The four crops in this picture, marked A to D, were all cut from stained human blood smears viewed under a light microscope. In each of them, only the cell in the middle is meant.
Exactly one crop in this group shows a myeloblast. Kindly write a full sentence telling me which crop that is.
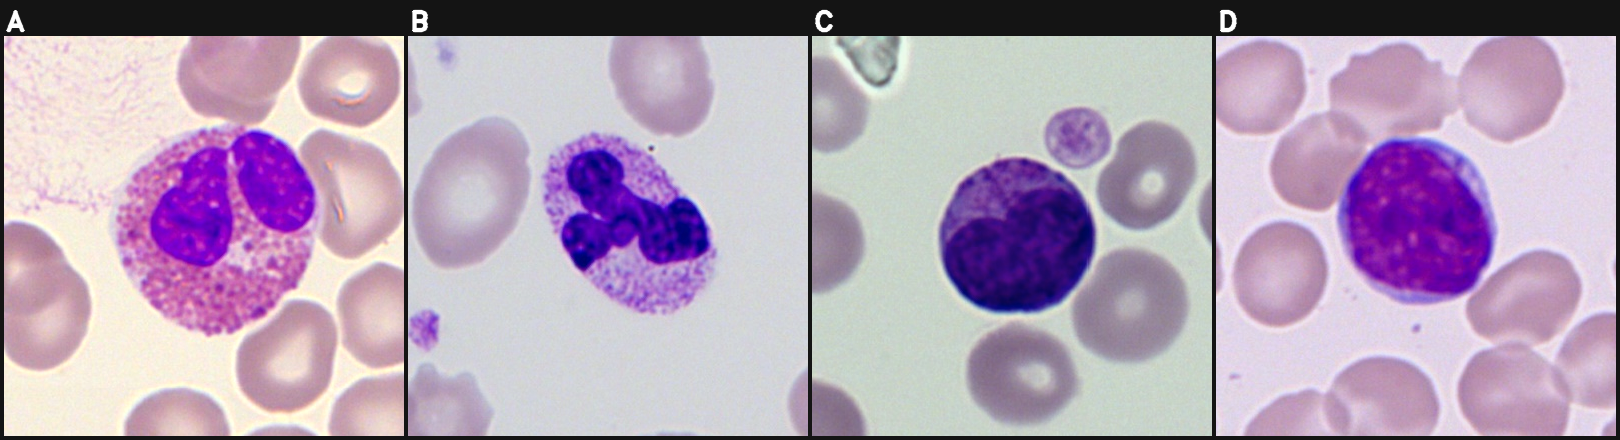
It is in crop C that a myeloblast is shown.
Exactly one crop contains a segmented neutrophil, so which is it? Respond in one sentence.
Crop B alone, of all the crops, shows a segmented neutrophil.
